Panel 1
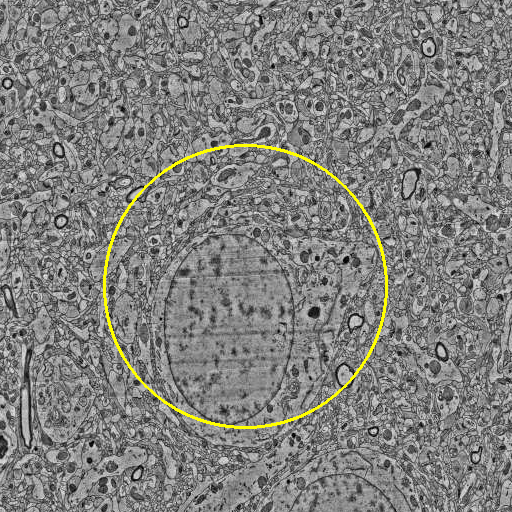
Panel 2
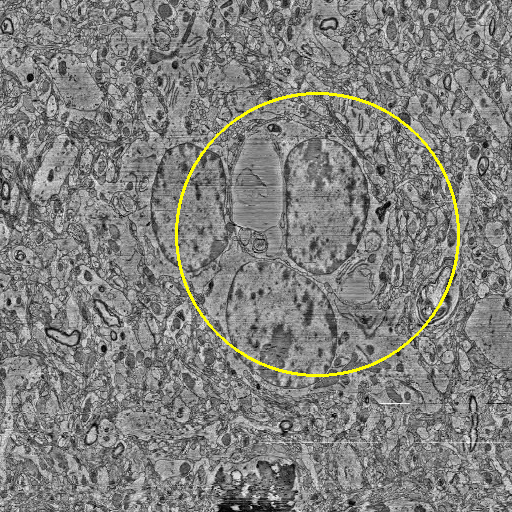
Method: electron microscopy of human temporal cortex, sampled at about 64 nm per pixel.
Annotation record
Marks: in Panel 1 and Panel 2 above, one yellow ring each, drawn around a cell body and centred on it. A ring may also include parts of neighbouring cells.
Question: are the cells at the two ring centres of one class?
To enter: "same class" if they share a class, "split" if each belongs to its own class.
split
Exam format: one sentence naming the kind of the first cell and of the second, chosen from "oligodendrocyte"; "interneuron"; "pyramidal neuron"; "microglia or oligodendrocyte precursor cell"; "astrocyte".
The first picture's cell is a pyramidal neuron, and the second picture's cell is an astrocyte.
